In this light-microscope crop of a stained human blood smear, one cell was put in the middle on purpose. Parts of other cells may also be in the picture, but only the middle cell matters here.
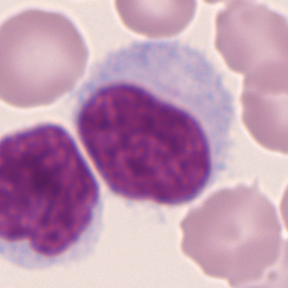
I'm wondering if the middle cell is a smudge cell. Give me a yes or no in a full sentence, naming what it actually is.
No, the centrally placed cell is a hairy cell, not a smudge cell.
